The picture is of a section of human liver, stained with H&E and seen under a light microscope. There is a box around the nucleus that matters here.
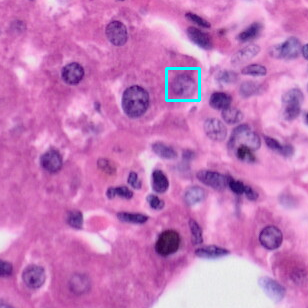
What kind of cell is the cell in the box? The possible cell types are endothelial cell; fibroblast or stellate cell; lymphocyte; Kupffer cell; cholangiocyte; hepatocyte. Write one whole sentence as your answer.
Typologically, the cell in the box is a cholangiocyte in this section.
